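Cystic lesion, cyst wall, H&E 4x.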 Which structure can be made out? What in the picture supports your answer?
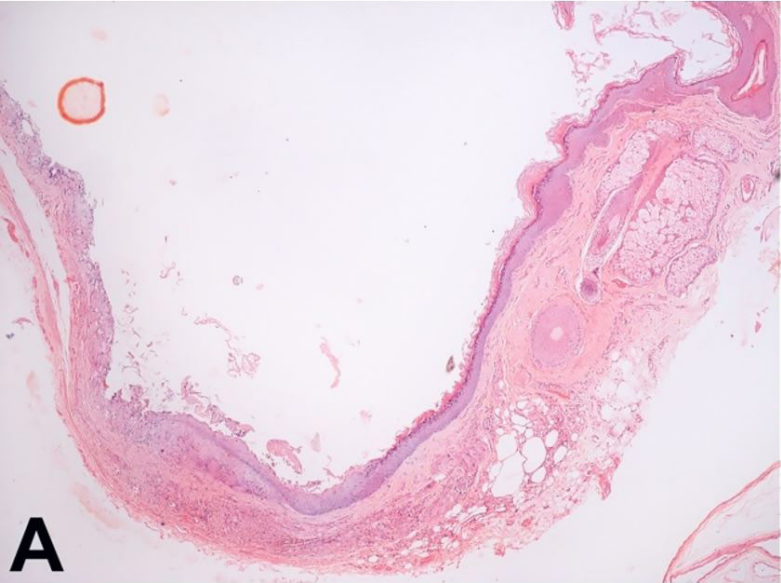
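Lobules of pale, bubbly, clear cells lie in the wall beneath the epithelium. A round follicle-like structure in cross section sits in the connective tissue of the wall.
Hence: adnexal structures.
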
